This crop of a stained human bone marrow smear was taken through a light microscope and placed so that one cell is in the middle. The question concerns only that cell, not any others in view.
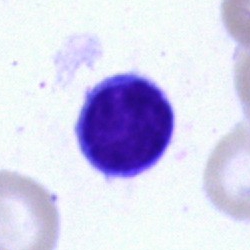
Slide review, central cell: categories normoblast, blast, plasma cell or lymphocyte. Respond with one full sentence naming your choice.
The cell nearest the centre of this crop is a lymphocyte.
